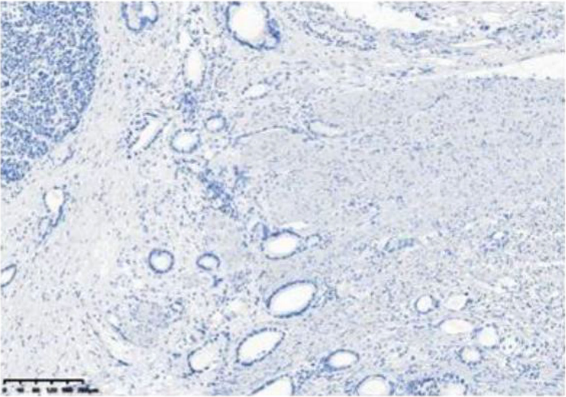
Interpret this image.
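The glands are lined by a thin layer of epithelial cells whose nuclei stain blue. No brown colour is seen in the epithelium or the stroma. In one corner lies a dense, sharply bounded cluster of closely packed small cells with dark blue nuclei.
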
